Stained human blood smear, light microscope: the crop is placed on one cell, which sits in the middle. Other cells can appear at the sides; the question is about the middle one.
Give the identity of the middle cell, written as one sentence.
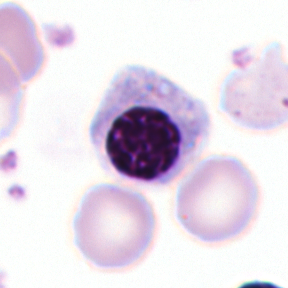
Within this crop, a normoblast occupies the central position.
